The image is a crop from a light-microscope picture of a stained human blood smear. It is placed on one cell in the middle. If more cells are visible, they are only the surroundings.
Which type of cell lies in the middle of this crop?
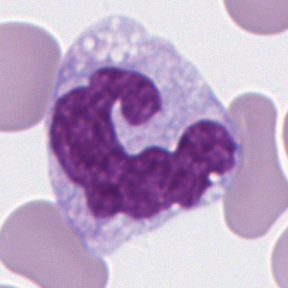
monocyte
